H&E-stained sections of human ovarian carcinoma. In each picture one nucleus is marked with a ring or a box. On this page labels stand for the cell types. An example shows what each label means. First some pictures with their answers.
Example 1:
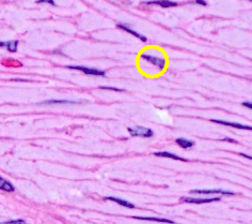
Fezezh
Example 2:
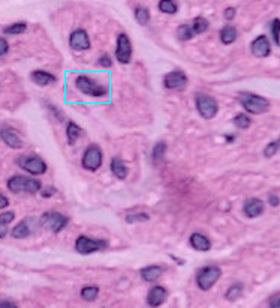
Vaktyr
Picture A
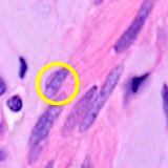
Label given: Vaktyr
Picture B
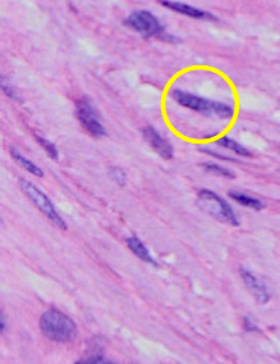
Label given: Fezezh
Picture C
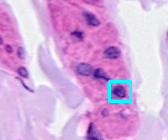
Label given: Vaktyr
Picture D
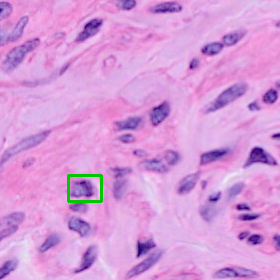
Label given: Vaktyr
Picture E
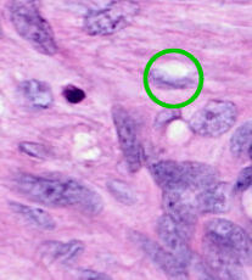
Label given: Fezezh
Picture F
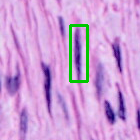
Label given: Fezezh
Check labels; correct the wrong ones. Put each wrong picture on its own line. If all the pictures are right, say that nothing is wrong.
Every label is right.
